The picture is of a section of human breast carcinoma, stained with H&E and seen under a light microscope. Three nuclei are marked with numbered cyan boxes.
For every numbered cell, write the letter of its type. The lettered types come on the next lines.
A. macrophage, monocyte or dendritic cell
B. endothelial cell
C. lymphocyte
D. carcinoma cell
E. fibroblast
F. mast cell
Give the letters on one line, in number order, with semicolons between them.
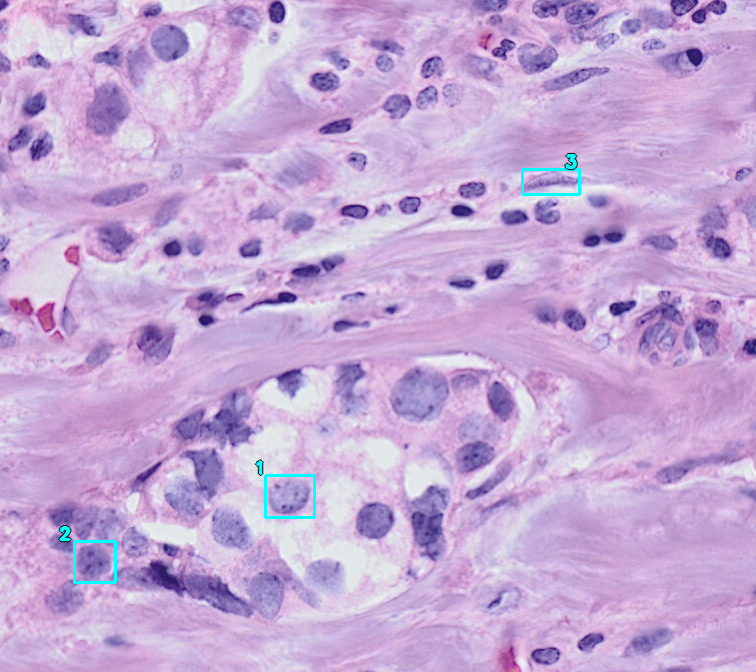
D; D; E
